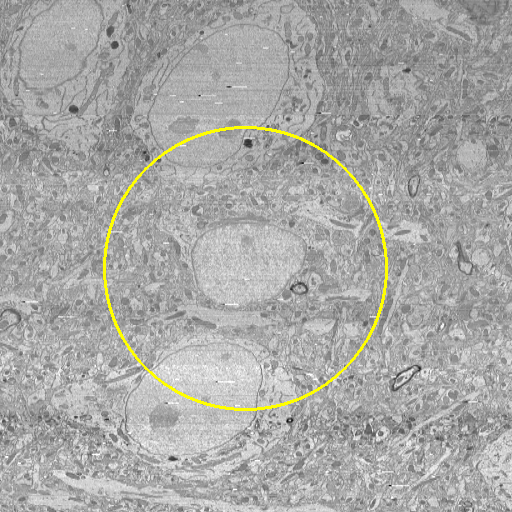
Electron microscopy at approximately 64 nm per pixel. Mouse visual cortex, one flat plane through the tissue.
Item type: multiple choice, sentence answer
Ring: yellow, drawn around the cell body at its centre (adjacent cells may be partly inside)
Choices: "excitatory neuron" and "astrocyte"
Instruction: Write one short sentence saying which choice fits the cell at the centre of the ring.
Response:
This ring is drawn around an astrocyte.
